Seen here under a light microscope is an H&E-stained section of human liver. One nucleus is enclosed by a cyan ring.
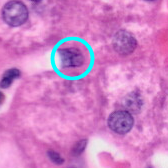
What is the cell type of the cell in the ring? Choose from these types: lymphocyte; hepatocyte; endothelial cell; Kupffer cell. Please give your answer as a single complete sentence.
By its classification, the cell in the ring is an endothelial cell.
